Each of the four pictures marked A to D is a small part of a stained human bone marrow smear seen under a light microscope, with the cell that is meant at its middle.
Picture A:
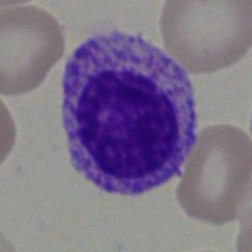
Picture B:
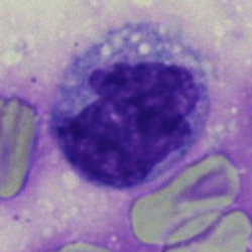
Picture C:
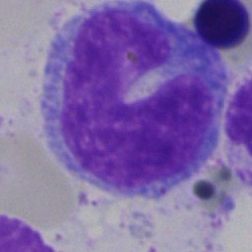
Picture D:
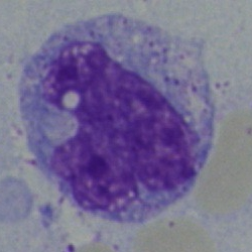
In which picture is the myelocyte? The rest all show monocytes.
A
